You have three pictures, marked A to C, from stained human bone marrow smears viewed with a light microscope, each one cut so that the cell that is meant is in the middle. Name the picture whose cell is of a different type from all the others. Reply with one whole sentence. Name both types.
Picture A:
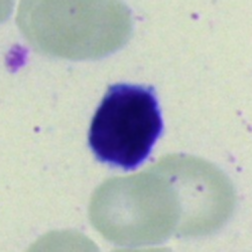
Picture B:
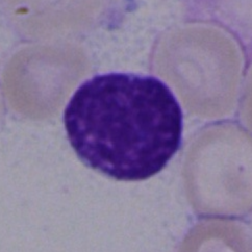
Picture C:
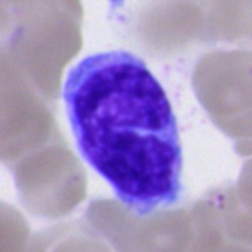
Unlike the rest, which show lymphocytes, picture C shows a monocyte.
